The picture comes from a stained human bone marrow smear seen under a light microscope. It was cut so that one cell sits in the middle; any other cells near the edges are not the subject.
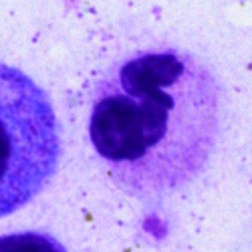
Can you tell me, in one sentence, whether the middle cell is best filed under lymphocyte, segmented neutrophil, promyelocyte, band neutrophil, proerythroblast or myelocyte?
The center cell of this crop is a segmented neutrophil.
